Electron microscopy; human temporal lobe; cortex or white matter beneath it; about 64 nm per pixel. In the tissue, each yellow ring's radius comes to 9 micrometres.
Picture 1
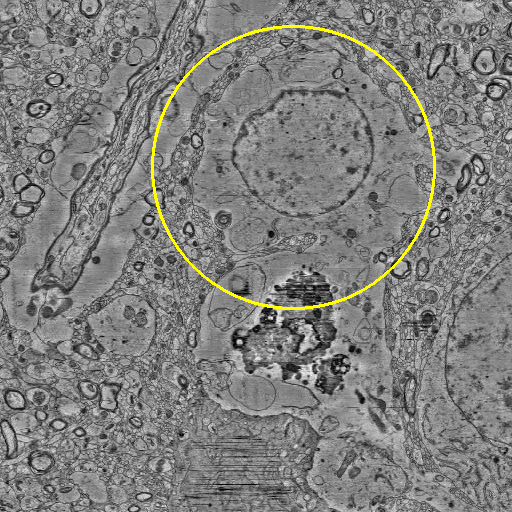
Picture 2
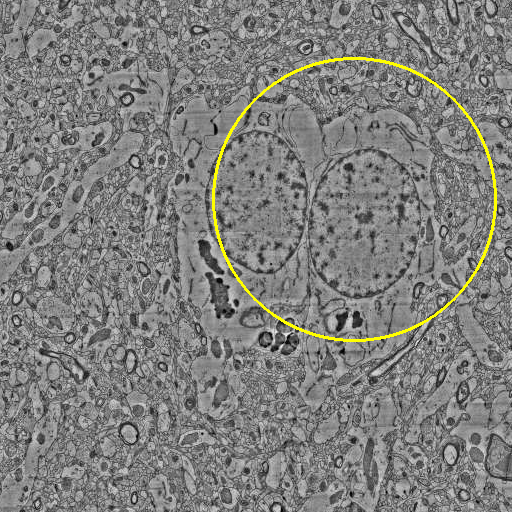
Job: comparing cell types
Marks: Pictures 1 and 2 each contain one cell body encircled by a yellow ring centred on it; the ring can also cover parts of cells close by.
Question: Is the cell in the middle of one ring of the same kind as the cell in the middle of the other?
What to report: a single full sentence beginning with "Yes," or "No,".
Yes, the cell at the ring centre in Picture 1 and its partner in Picture 2 are of one kind.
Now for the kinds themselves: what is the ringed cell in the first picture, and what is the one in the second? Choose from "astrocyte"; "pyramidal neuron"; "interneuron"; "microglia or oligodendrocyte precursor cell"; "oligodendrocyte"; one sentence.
In both pictures the ring is centred on an astrocyte.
